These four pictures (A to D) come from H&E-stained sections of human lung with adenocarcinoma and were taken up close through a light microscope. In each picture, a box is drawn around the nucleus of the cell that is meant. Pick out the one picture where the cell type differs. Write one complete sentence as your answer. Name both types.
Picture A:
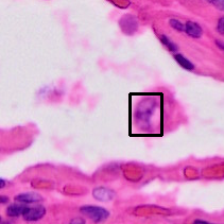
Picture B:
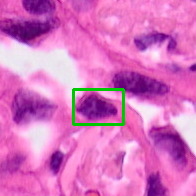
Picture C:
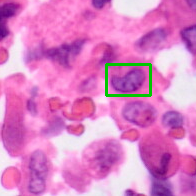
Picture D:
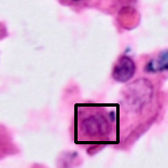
Unlike the rest, which show “macrophages or monocytes”, picture B shows a carcinoma cell.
